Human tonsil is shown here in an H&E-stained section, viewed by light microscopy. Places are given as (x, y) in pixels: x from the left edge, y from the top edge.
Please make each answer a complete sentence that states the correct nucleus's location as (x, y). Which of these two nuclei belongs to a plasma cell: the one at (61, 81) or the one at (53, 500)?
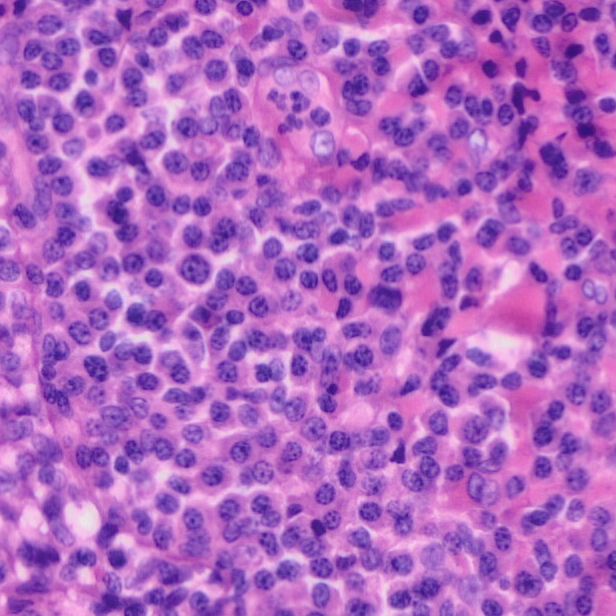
At (61, 81) lies the nucleus that belongs to a plasma cell.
